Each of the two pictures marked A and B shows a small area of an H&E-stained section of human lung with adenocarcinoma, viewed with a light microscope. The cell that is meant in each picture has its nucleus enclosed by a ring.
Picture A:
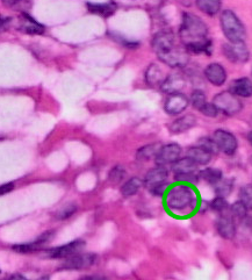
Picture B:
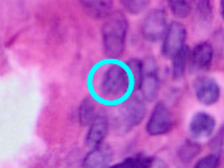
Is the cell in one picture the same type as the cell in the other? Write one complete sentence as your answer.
Yes, the two pictures both show ciliated epithelial cells.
